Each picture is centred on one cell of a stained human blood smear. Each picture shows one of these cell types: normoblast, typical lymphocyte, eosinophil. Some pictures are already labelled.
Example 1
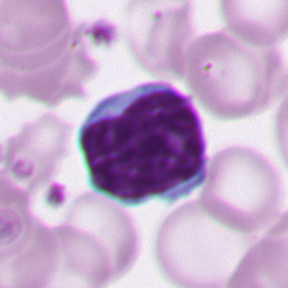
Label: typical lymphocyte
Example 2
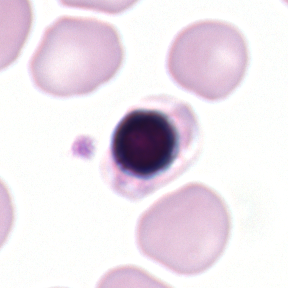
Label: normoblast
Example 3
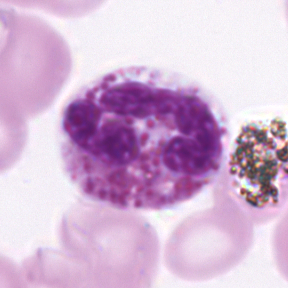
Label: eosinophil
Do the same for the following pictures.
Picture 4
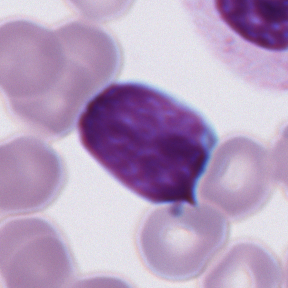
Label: typical lymphocyte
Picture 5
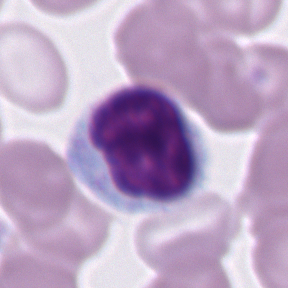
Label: typical lymphocyte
